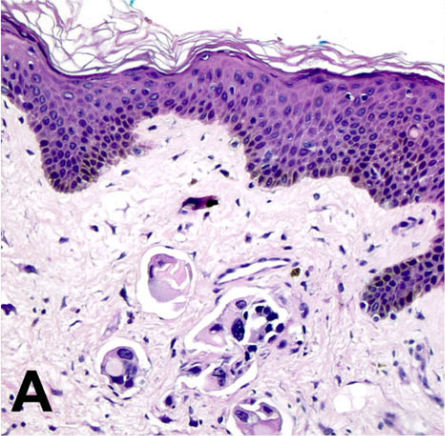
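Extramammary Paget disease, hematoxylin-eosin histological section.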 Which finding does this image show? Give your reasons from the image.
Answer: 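Emboli with neoplastic cells. Small round spaces in the dermis beneath the epidermis contain clusters of large cells. The cells in the spaces have large dark nuclei and pale pink cytoplasm.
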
